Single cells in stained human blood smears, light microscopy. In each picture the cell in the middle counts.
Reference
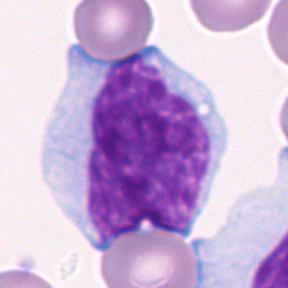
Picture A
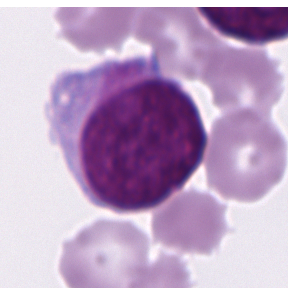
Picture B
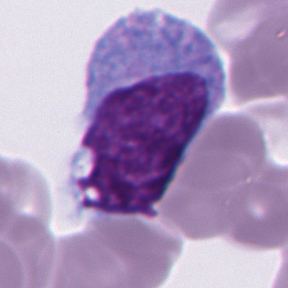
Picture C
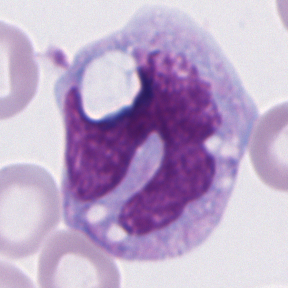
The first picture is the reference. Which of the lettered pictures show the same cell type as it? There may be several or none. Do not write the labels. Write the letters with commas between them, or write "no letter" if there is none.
A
